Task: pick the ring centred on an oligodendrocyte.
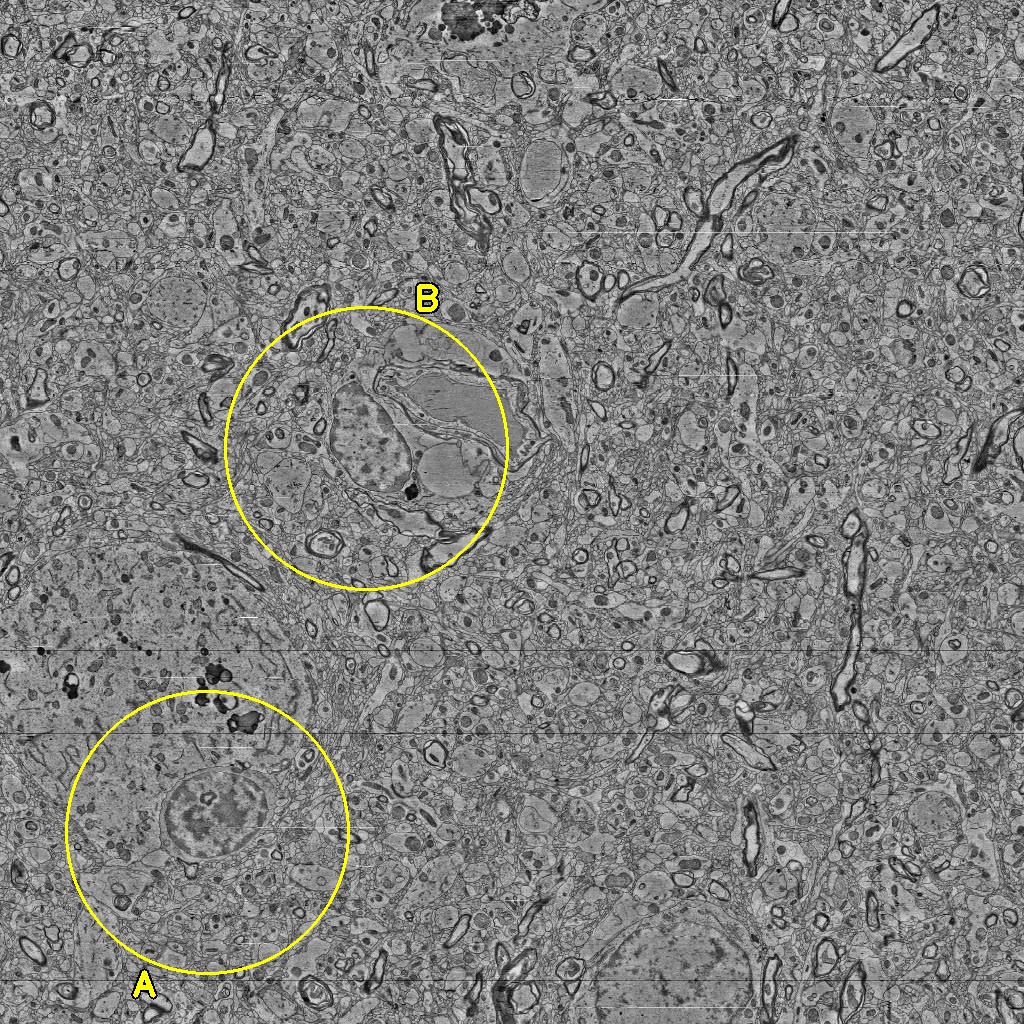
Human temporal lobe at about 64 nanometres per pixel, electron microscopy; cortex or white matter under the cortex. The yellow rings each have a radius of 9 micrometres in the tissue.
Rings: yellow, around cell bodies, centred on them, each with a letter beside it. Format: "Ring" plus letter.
Ring A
